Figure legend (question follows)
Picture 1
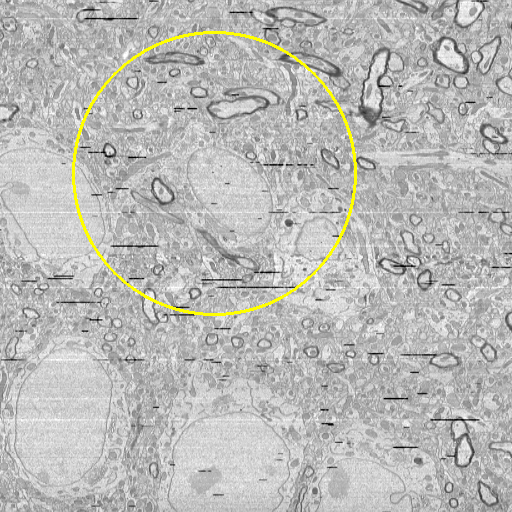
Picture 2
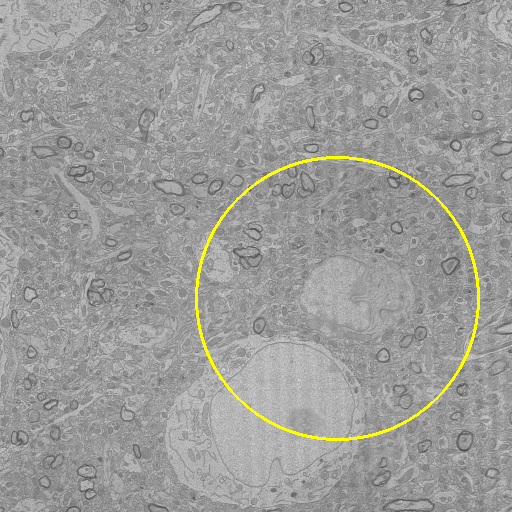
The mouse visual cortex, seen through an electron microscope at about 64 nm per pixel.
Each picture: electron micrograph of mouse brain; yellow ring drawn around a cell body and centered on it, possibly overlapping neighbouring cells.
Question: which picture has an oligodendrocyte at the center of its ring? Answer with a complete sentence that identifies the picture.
Picture 2 has it at the center of its ring.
